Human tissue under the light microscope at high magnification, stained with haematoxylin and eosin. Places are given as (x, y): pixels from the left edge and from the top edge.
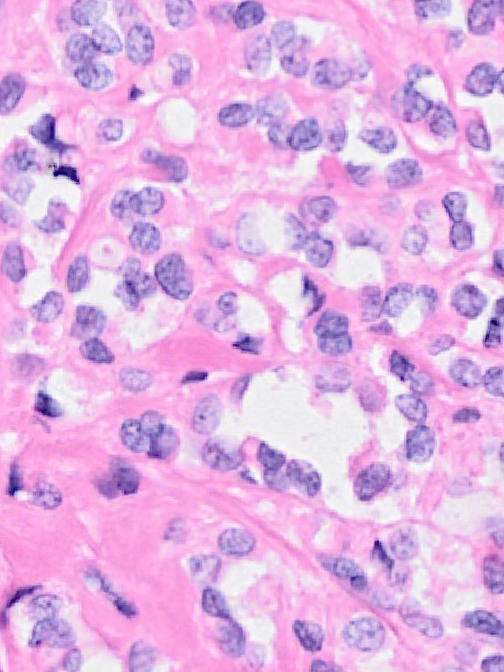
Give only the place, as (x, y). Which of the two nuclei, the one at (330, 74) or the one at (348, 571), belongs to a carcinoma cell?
(330, 74)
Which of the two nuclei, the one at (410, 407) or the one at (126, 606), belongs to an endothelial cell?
(126, 606)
